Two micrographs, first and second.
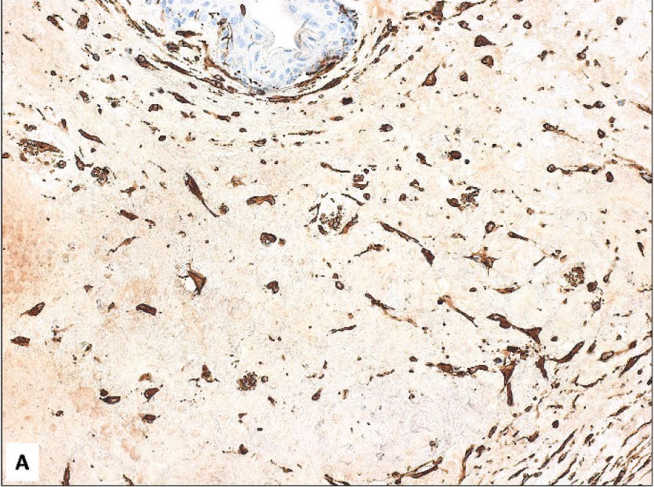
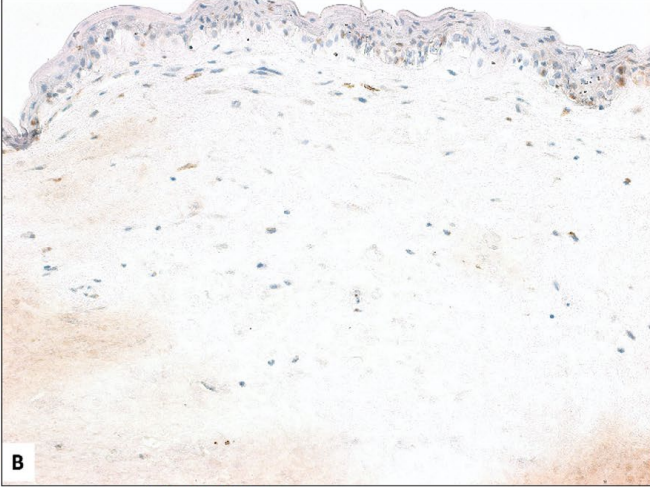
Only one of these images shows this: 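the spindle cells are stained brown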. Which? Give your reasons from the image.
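The first image. Second image: the stromal cells show only blue nuclei with little or no brown stain. First image: many elongated and stellate stromal cells are stained dark brown.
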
